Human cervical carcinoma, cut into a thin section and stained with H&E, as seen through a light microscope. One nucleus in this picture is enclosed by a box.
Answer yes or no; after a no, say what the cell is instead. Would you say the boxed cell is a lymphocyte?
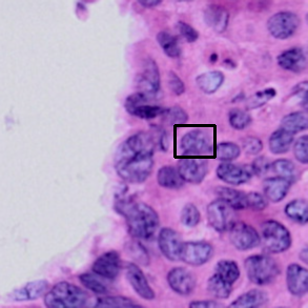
No, it is a squamous carcinoma cell.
